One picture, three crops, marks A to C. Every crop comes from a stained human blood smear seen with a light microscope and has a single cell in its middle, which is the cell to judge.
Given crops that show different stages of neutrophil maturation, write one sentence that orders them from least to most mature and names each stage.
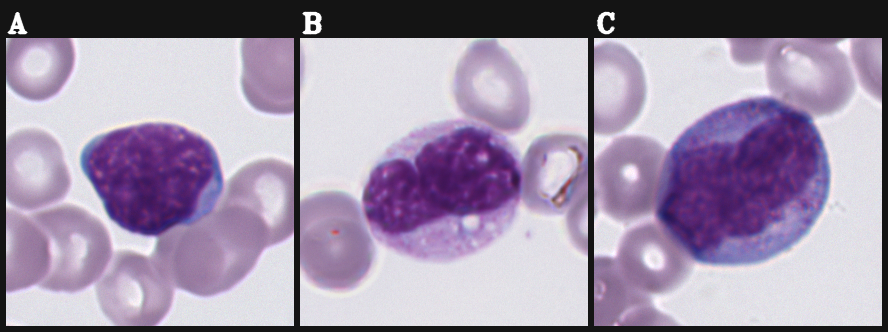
From the least mature to the most mature, the order reads crop A (a myeloblast), crop C (a promyelocyte) and crop B (a band neutrophil).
